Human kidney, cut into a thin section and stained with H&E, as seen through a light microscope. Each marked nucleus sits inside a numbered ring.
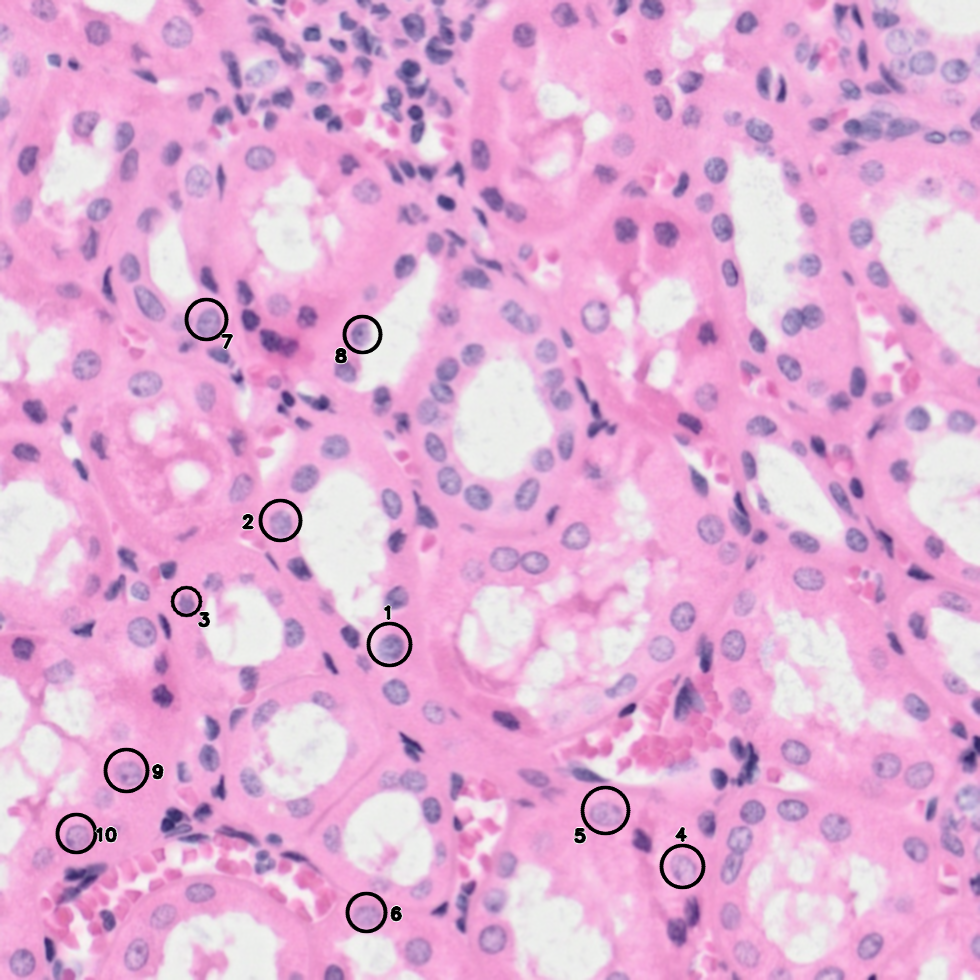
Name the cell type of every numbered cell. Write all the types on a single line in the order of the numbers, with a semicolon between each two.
loop of Henle or distal tubule cell; loop of Henle or distal tubule cell; loop of Henle or distal tubule cell; proximal tubule cell; proximal tubule cell; proximal tubule cell; collecting duct cell; loop of Henle or distal tubule cell; proximal tubule cell; proximal tubule cell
